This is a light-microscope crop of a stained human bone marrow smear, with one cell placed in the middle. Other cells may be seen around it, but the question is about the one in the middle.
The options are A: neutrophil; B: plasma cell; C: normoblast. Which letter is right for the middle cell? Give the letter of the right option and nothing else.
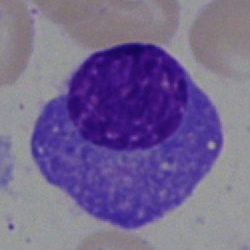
B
